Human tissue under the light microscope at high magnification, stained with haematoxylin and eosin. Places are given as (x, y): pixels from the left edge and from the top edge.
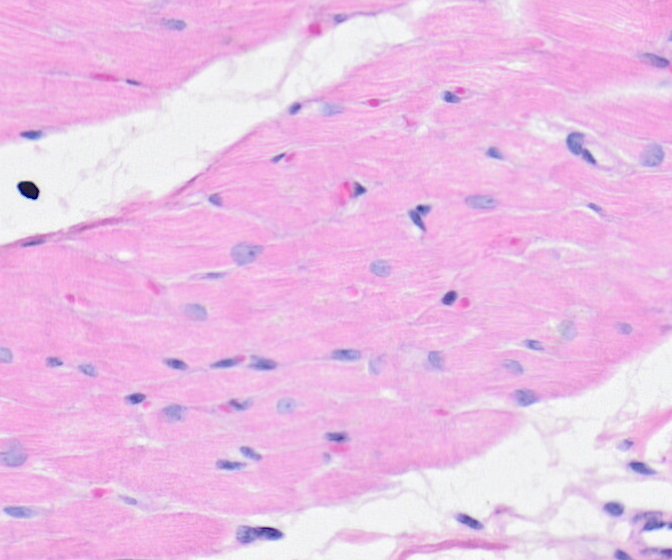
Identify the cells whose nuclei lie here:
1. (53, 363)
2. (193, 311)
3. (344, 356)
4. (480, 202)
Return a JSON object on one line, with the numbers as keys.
{"1": "endothelial cell", "2": "cardiomyocyte", "3": "endothelial cell", "4": "cardiomyocyte"}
